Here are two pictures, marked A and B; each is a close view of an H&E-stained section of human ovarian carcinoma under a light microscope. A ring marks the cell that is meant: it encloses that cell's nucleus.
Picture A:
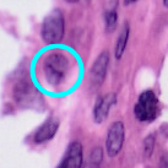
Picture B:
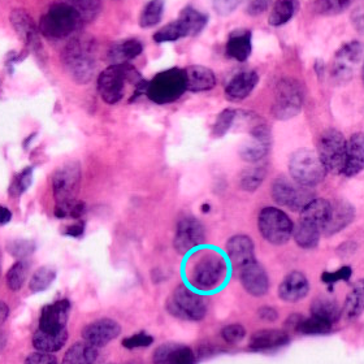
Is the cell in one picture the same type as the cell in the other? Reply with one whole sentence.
No; the cell in picture A is a “macrophage or monocyte”, while the one in picture B is a carcinoma cell.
